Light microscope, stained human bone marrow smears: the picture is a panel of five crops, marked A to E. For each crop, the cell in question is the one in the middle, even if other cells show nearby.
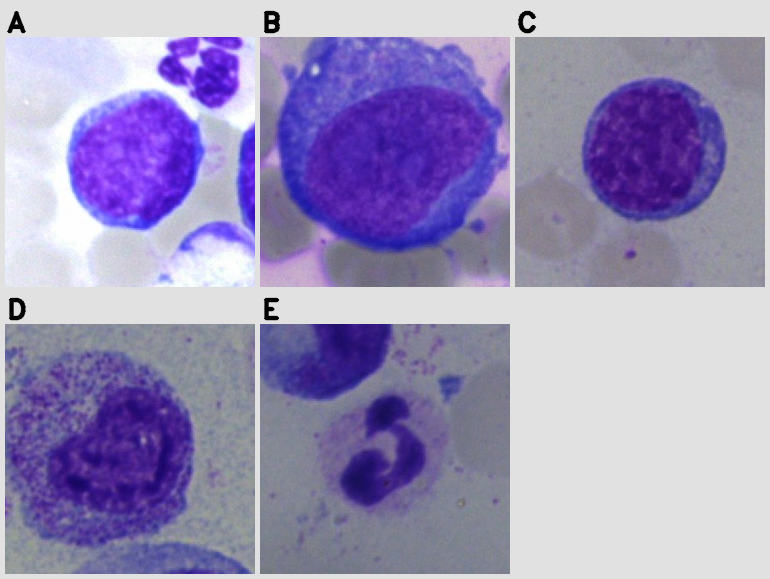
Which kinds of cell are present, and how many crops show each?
blast: 3
myelocyte: 1
segmented neutrophil: 1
